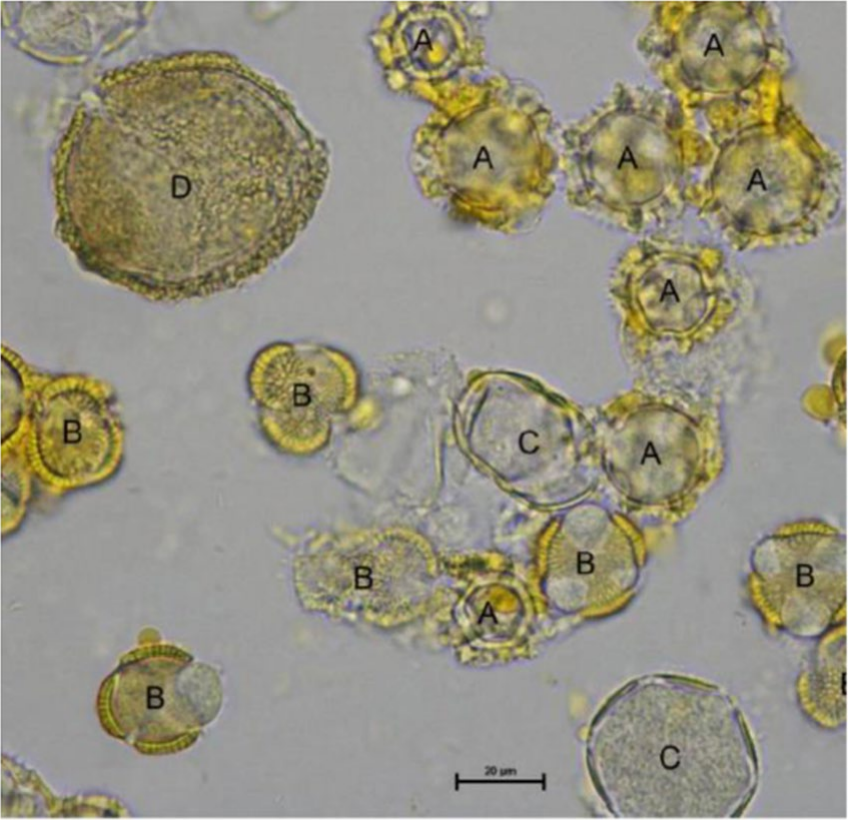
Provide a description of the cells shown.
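Many mid-sized round grains have a thick wall set with spines and irregular raised crests. Other grains show a coarse net-like wall that looks like a finely striated yellow rim at the edge, with furrows splitting the grain into rounded lobes. A few larger grains have a thin, smooth, pale wall and finely granular contents, and one very large grain with a thick, finely sculptured wall sits at the upper left.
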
